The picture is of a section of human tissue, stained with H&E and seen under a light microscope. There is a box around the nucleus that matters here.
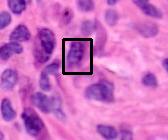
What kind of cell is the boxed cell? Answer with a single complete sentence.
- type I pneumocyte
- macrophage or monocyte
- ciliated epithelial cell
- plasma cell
Cytologically, the boxed cell is to be regarded as a plasma cell.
